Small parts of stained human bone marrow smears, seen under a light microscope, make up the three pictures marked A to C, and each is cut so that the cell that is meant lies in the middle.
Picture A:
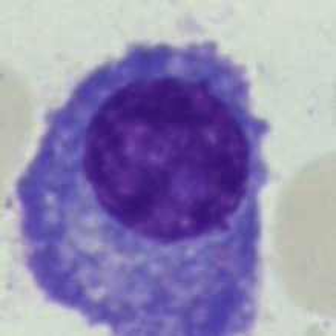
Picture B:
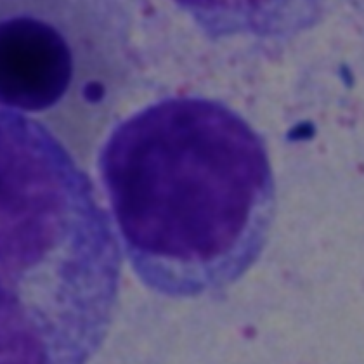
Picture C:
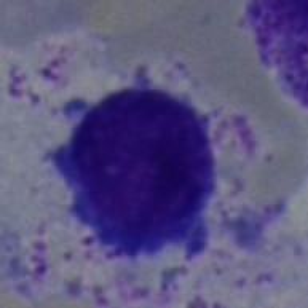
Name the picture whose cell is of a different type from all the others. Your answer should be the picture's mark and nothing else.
A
